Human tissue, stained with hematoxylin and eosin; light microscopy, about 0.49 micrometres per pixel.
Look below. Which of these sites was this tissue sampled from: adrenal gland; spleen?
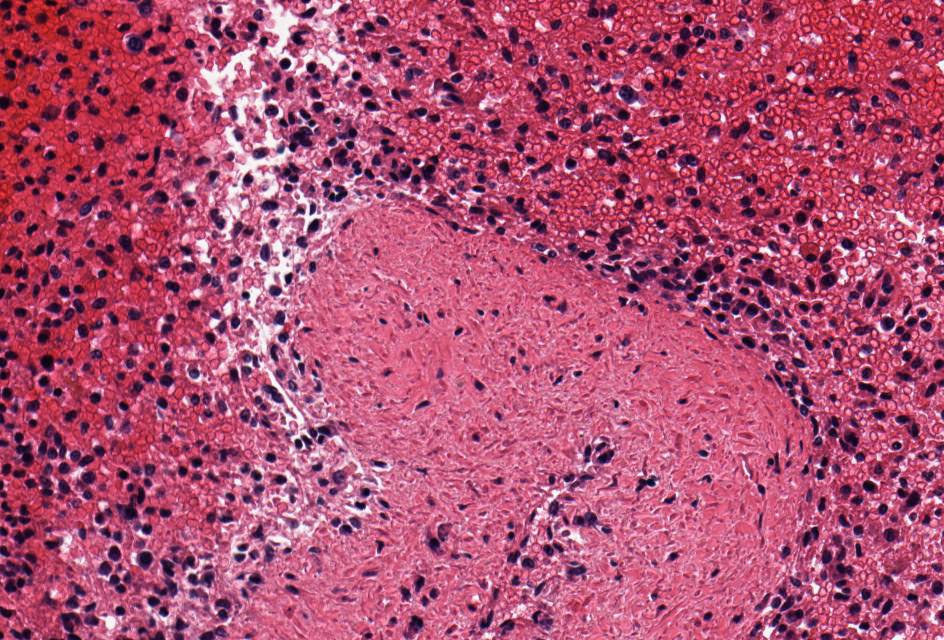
spleen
